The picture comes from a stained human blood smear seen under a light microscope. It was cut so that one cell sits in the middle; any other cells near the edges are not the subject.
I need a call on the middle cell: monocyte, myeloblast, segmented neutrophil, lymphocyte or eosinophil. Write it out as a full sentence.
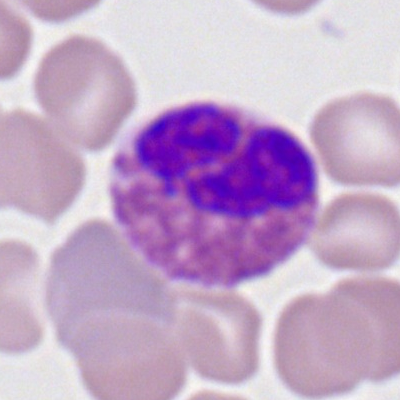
The crop centres on a single cell, and that cell is an eosinophil.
